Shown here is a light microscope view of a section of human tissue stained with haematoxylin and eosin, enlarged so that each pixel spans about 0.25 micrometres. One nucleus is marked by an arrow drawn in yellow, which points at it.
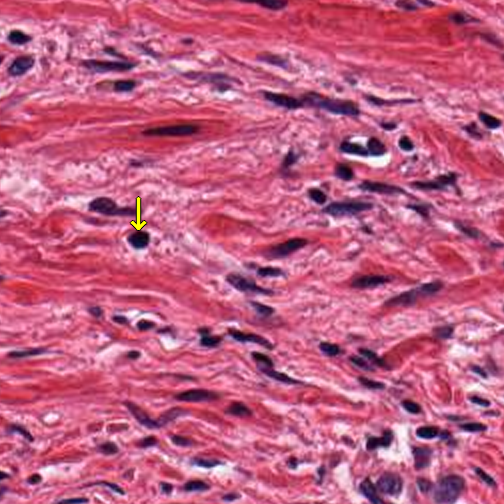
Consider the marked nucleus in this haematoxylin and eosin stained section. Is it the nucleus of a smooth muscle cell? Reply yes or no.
no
